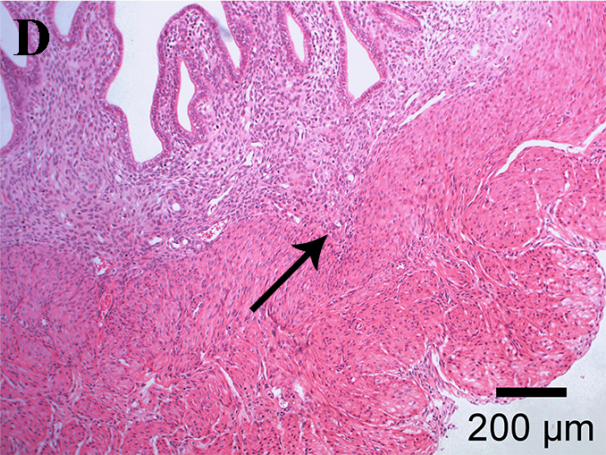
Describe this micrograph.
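A part of the uterine wall is seen, stained pink and purple. At top, folded projections of the lining stick into a wide clear lumen, each covered by a single layer of columnar epithelial cells with purple nuclei. Beneath them lies a pale stroma packed with small oval and spindle-shaped nuclei. Below and to the right, deep pink bundles of smooth muscle with elongated nuclei run in varied directions. The border between the pale cellular stroma and the pink muscle is uneven, with stromal tissue extending down into the muscle where an arrow points.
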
